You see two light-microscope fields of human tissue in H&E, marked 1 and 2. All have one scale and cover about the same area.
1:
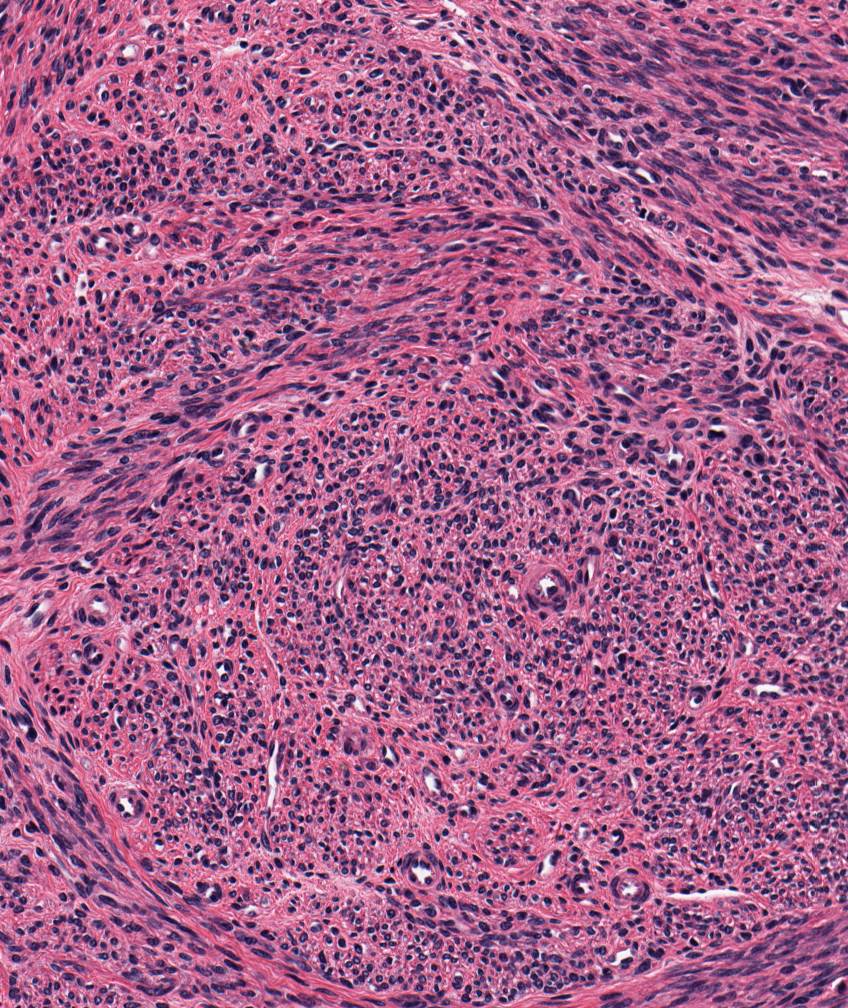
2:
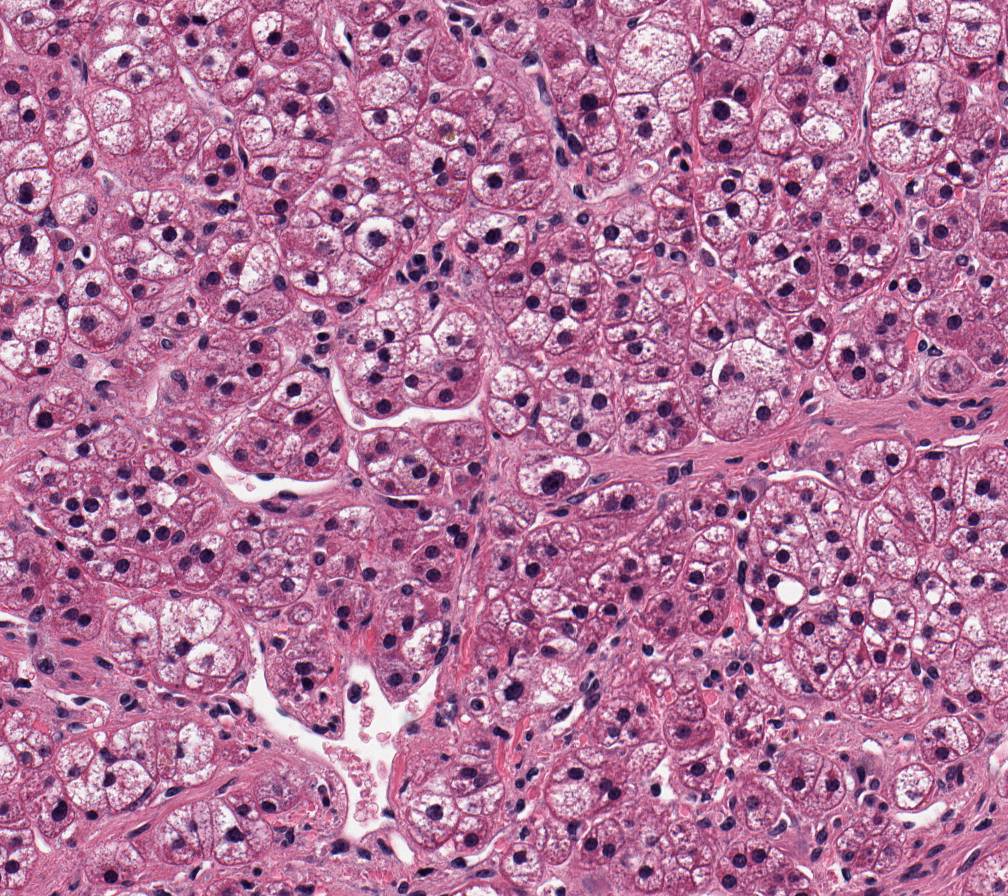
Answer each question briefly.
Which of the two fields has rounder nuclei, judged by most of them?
2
